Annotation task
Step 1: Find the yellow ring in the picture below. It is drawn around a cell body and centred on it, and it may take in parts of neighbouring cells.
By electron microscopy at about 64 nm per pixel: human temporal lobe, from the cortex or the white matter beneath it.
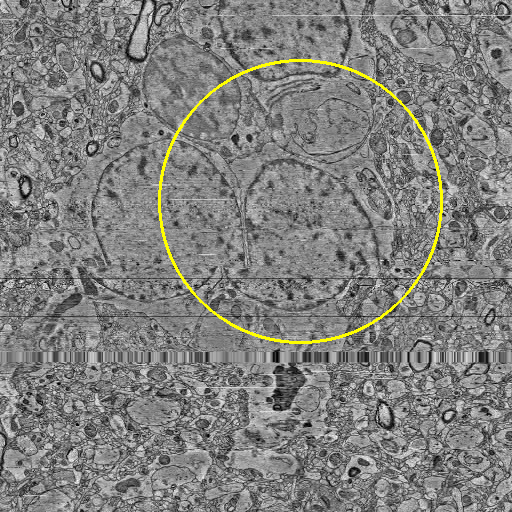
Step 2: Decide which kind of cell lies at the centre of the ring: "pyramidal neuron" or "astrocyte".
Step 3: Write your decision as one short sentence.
The kind of cell at the ring's centre is an astrocyte.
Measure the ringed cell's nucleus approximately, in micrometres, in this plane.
About 10 by 8 micrometers, in this plane.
